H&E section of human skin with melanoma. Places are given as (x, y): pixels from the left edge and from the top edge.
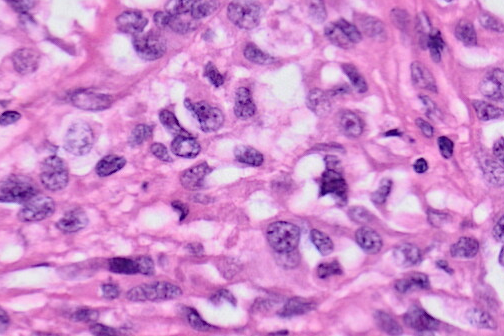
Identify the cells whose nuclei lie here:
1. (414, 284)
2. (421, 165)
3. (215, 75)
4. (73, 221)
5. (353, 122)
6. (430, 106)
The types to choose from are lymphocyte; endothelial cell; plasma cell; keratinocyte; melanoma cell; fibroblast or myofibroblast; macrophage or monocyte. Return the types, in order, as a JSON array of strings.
["melanoma cell", "lymphocyte", "melanoma cell", "melanoma cell", "melanoma cell", "endothelial cell"]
